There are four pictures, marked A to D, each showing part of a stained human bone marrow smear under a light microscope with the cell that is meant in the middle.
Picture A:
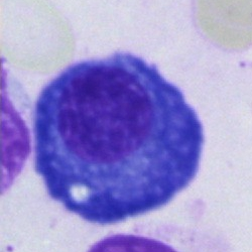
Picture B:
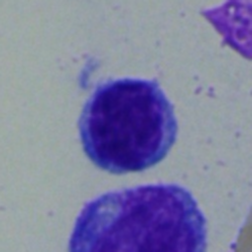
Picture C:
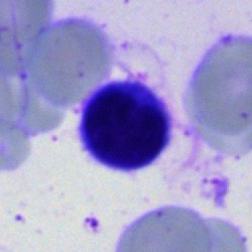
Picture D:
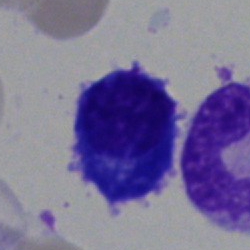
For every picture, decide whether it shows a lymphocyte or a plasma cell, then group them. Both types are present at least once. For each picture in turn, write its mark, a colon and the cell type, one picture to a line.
A: plasma cell
B: lymphocyte
C: lymphocyte
D: plasma cell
